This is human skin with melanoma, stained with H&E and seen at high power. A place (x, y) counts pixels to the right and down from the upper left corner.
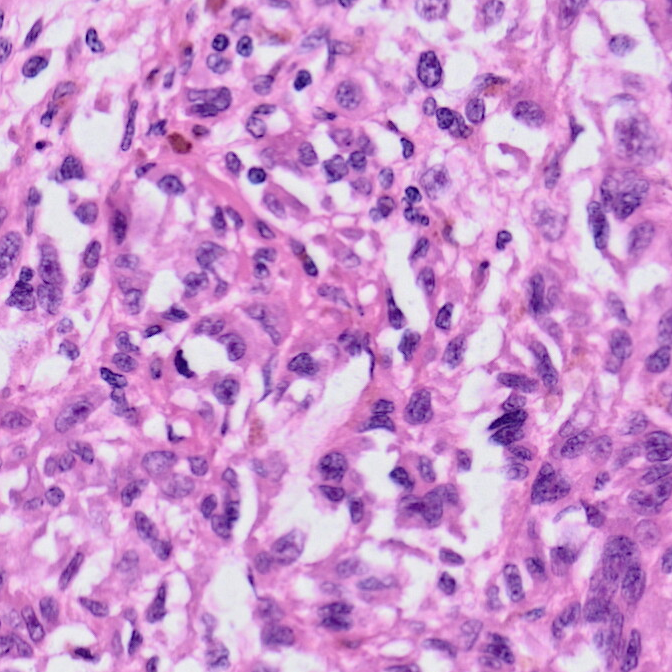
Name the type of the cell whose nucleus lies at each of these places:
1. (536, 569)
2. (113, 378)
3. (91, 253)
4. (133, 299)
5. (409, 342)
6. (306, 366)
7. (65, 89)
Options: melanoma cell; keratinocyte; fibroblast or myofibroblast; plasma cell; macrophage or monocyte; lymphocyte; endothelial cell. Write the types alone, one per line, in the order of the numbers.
melanoma cell
lymphocyte
macrophage or monocyte
melanoma cell
melanoma cell
melanoma cell
macrophage or monocyte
